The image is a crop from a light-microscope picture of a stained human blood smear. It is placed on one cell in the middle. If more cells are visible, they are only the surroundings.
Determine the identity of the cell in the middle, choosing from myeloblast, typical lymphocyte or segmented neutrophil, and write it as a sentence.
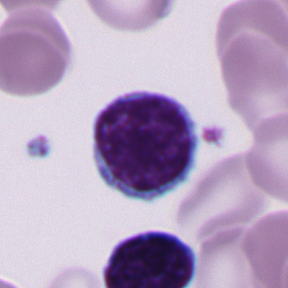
This crop's central cell is a typical lymphocyte.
